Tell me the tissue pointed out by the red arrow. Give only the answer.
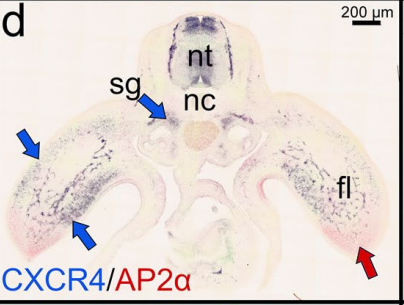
Distal mesenchyme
